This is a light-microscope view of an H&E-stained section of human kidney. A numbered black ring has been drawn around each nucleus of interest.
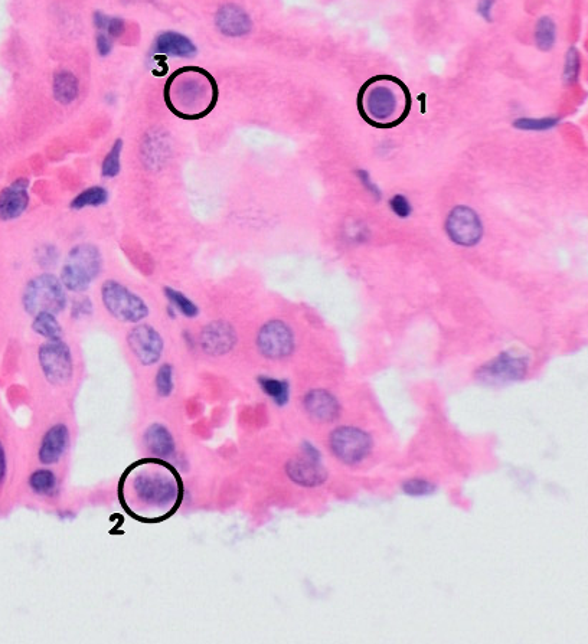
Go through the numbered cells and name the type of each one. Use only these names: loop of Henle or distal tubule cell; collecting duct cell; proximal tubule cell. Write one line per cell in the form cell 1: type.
cell 1: proximal tubule cell
cell 2: collecting duct cell
cell 3: proximal tubule cell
